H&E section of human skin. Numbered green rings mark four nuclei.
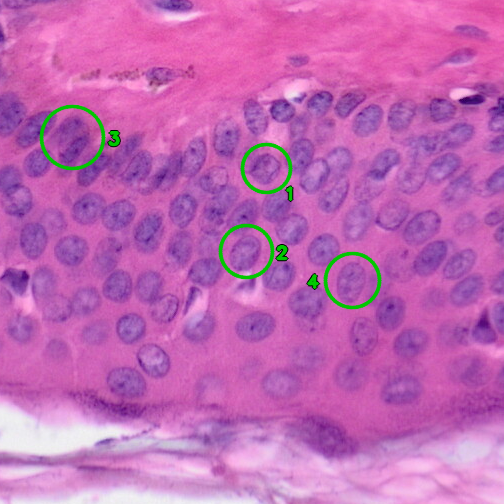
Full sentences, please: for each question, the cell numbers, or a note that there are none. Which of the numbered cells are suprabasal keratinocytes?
Identification: the cells with numbers 1, 2 and 4 are suprabasal keratinocytes.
